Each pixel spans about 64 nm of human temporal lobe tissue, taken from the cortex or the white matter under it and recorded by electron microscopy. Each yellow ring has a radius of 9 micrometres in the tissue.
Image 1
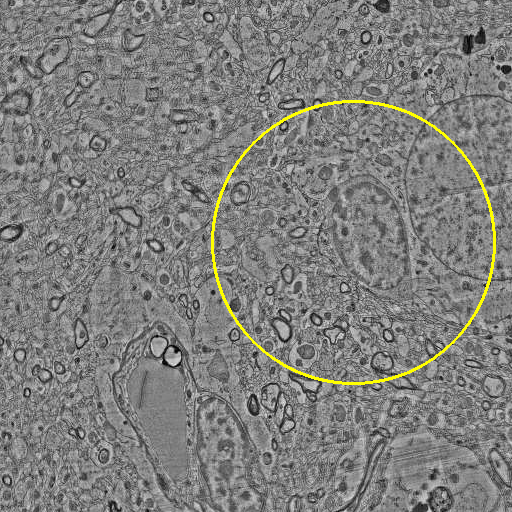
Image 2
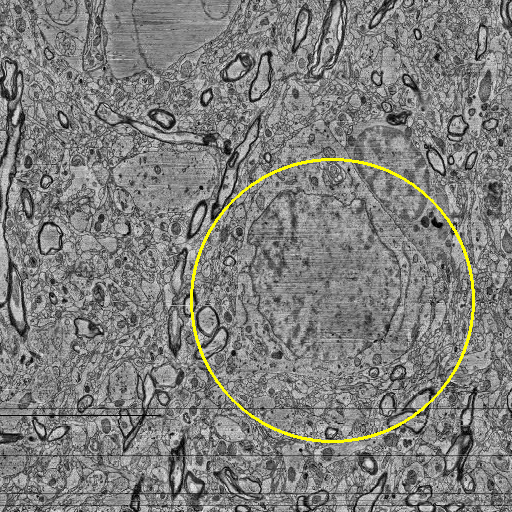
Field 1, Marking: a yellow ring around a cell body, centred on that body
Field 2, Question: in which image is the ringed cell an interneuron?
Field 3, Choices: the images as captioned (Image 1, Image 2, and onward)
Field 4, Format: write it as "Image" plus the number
Image 2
